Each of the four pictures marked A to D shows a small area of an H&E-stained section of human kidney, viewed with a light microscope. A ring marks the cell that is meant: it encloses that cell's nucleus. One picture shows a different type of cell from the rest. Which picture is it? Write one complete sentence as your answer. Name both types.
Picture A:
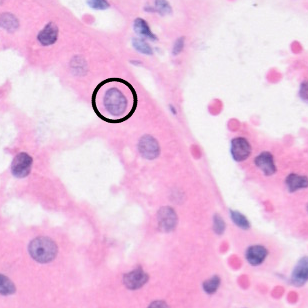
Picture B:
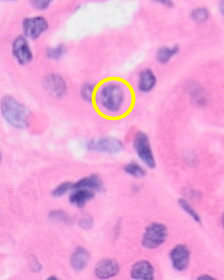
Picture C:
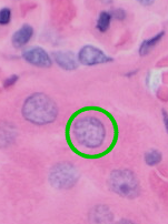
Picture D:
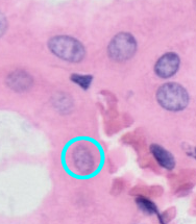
Picture B is the odd one out: it shows a collecting duct cell, while the others show proximal tubule cells.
